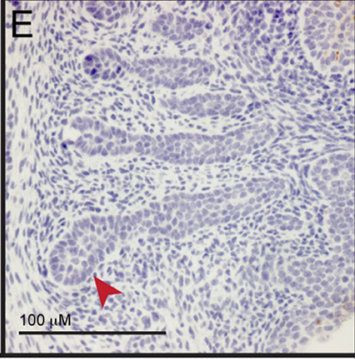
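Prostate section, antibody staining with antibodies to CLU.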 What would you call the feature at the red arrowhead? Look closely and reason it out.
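The arrowhead points to the rounded tip of an elongated epithelial cord. Several parallel epithelial cords run through the mesenchyme.
Answer: buds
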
